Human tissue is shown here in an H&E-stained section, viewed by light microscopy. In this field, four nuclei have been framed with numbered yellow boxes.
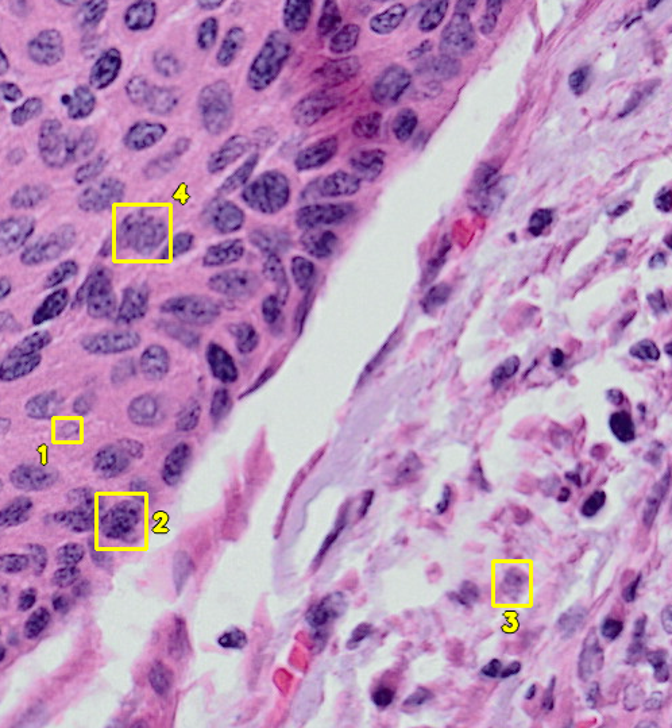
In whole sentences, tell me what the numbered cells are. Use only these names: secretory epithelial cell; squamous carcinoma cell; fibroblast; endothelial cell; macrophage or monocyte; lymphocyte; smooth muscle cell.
Cell 1 is a squamous carcinoma cell, cell 2 is a squamous carcinoma cell, cell 3 is a fibroblast and cell 4 is a squamous carcinoma cell.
